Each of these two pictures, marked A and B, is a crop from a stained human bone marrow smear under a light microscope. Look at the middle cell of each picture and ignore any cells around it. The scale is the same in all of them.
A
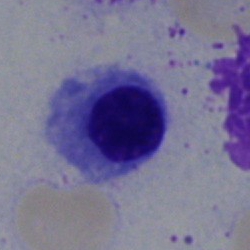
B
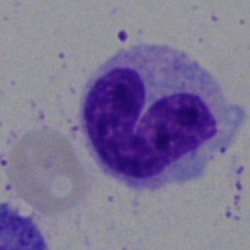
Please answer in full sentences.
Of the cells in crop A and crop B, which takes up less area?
Smaller is the cell in crop A, and the other is about 1.5 times as large in area.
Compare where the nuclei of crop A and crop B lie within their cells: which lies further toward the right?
Seen within its cell, the nucleus in crop A lies further toward the right.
